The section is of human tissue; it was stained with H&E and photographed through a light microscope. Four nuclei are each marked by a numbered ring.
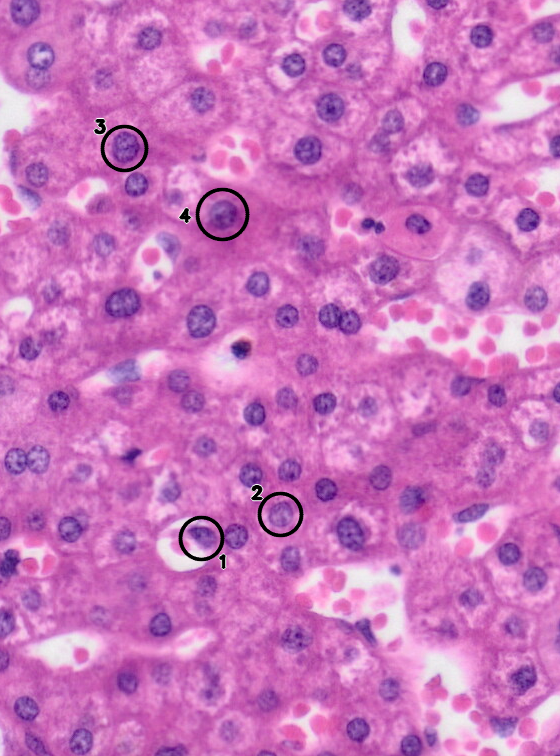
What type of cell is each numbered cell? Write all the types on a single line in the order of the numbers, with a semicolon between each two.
Kupffer cell; hepatocyte; hepatocyte; hepatocyte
